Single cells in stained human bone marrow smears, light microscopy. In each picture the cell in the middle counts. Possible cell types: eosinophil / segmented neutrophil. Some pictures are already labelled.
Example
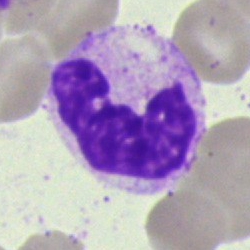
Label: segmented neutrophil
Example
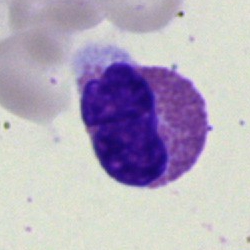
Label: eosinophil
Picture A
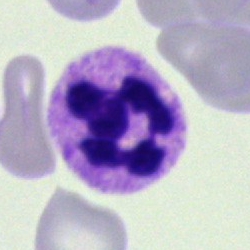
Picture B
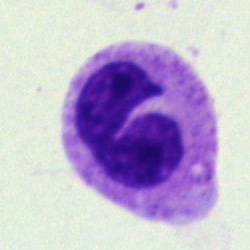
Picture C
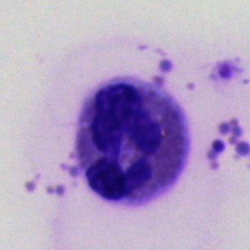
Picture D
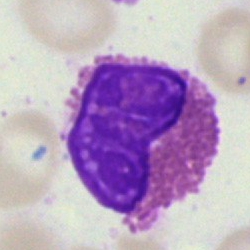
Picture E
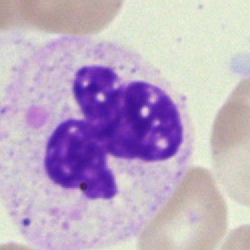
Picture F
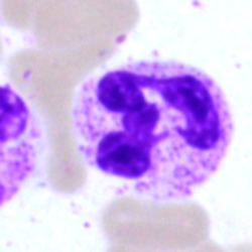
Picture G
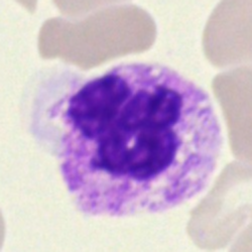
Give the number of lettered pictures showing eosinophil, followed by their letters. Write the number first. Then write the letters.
2: C, D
